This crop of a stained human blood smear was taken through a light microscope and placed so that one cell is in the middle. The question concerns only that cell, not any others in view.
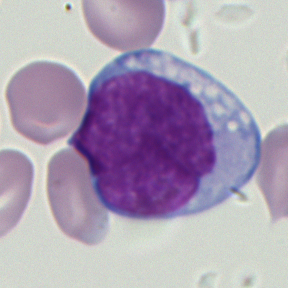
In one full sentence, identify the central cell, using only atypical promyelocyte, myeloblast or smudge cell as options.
Centred in the crop is a myeloblast.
